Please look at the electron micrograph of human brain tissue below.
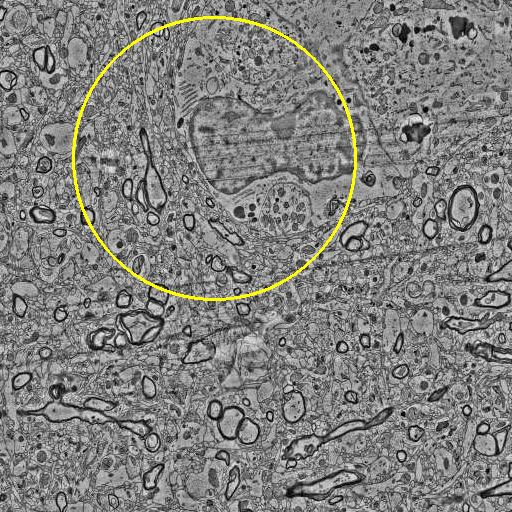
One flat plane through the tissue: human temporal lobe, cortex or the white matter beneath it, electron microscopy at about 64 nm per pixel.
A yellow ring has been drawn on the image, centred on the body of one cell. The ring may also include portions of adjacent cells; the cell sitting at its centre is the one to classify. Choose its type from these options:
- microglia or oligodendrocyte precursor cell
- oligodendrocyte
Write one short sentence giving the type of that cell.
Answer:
The cell in the middle of the ring is a microglial cell or oligodendrocyte precursor cell.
